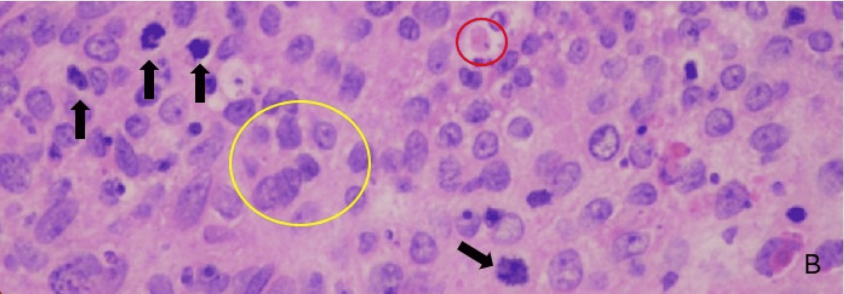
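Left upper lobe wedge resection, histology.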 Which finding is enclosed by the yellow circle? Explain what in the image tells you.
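The nuclei in the circle differ in size and shape. Nuclear outlines are irregular and folded. Nuclei are large and crowded relative to the cytoplasm. That points to this answer: irregular nuclear contours, nuclear anisocytosis, and pleomorphism.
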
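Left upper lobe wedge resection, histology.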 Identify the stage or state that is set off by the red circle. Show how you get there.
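The circle holds a small cell with pink, condensed cytoplasm.
Apoptotic cells.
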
